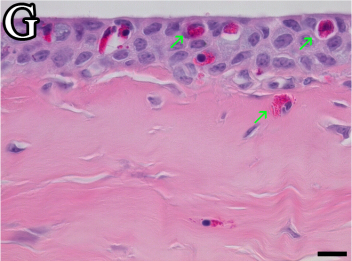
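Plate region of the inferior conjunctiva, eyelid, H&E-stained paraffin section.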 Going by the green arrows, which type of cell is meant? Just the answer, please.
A: Granulocytes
